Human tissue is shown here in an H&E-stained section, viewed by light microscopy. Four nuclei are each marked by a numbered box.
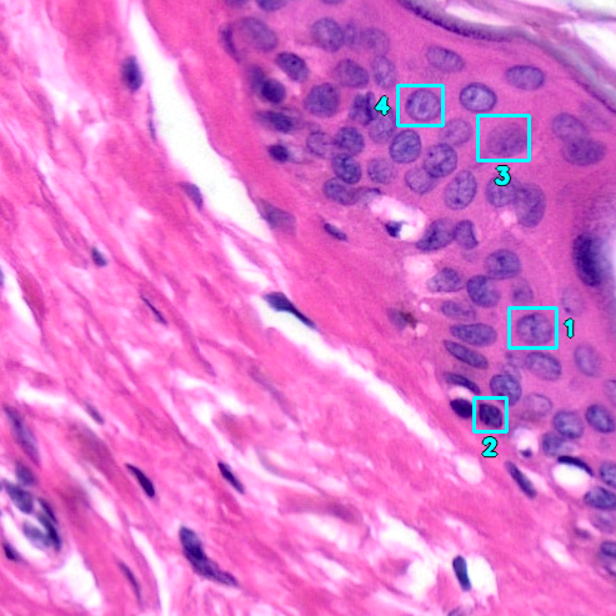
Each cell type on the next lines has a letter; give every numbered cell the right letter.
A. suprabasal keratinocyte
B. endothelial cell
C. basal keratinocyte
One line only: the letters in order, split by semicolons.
A; C; A; A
